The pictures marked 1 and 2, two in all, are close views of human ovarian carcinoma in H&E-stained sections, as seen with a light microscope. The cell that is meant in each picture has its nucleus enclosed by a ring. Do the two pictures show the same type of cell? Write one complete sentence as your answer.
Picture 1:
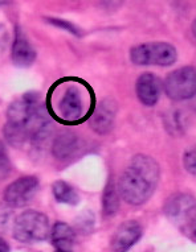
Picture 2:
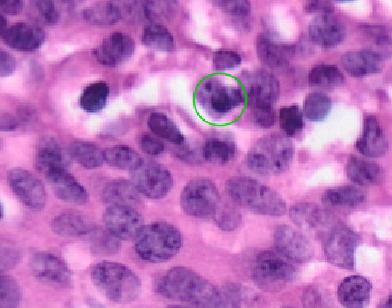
Yes, both cells are “macrophages or monocytes”.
